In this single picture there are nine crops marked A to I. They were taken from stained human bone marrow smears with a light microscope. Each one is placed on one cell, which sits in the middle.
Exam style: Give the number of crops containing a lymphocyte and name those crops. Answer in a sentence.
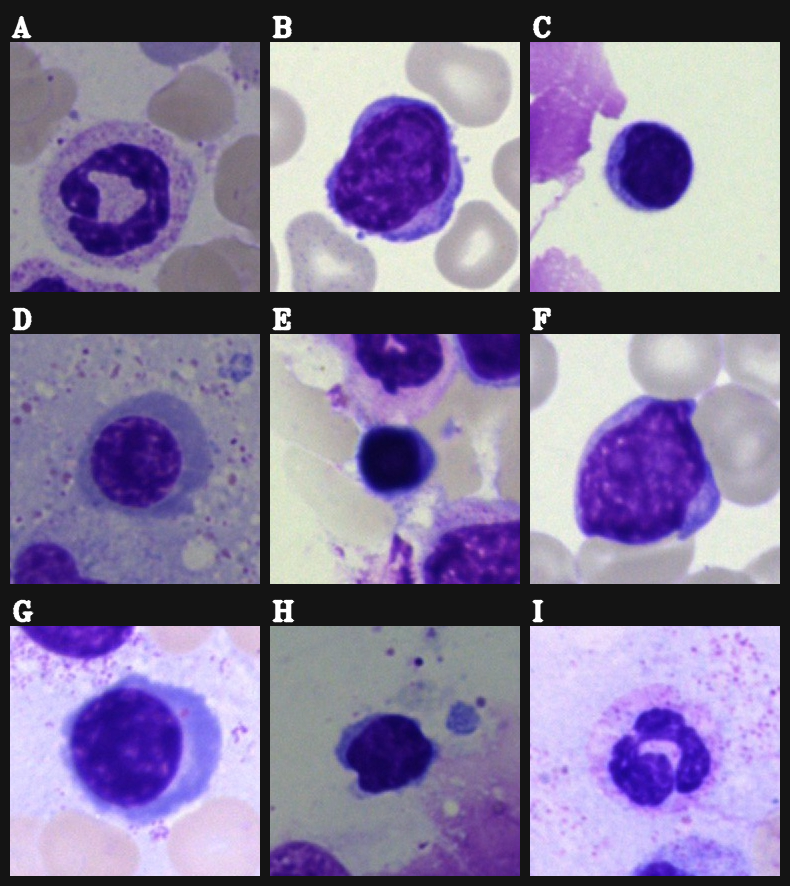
The three crops in which lymphocytes are shown are C, E and H.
